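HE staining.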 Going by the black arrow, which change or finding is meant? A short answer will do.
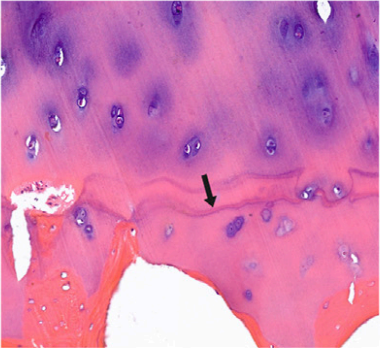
Tidemark replication.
